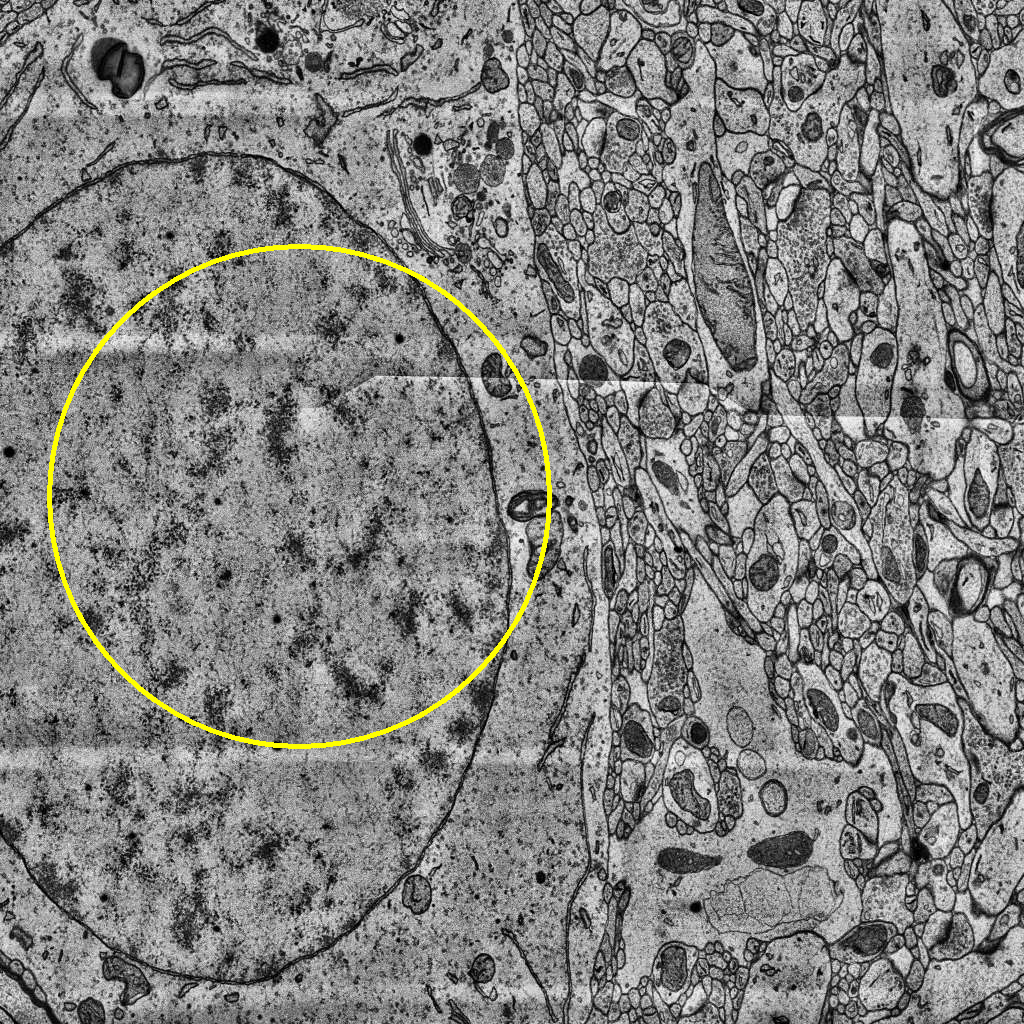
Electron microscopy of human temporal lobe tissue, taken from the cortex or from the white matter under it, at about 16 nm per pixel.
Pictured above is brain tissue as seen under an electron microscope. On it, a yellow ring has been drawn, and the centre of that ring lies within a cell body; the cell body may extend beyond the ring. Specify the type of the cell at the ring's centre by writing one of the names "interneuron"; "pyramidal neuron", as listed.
pyramidal neuron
